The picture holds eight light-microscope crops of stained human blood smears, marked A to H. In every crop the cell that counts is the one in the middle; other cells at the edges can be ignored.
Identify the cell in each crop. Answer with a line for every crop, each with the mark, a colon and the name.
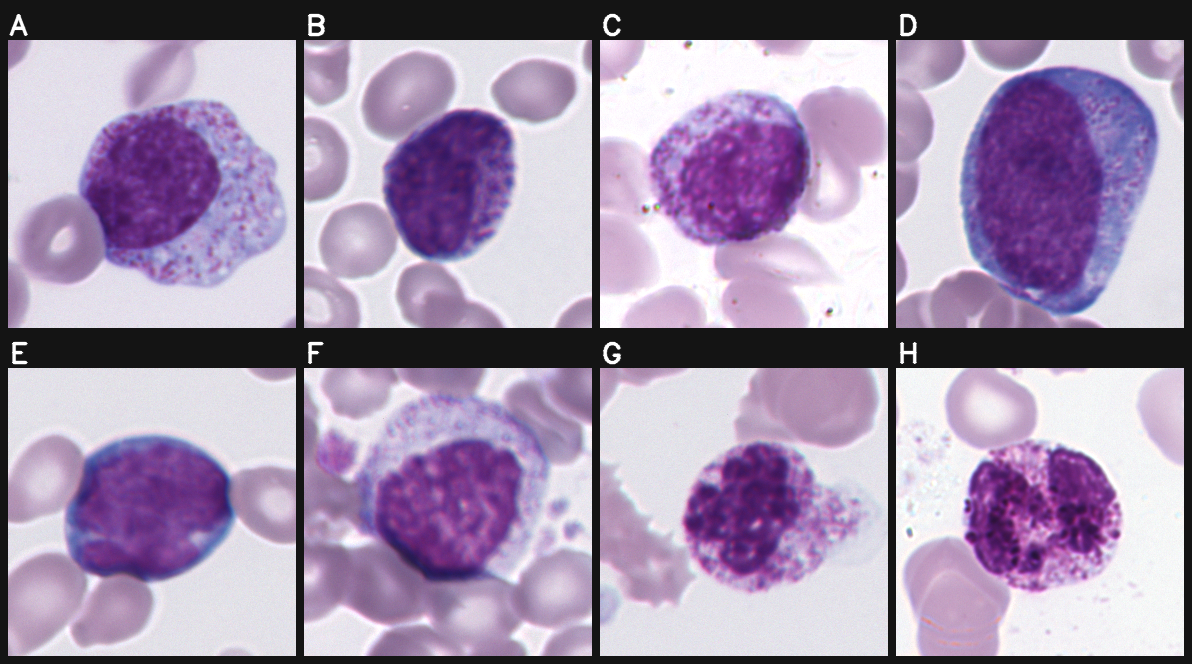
A: promyelocyte
B: basophil
C: myelocyte
D: promyelocyte
E: myeloblast
F: myelocyte
G: segmented neutrophil
H: basophil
